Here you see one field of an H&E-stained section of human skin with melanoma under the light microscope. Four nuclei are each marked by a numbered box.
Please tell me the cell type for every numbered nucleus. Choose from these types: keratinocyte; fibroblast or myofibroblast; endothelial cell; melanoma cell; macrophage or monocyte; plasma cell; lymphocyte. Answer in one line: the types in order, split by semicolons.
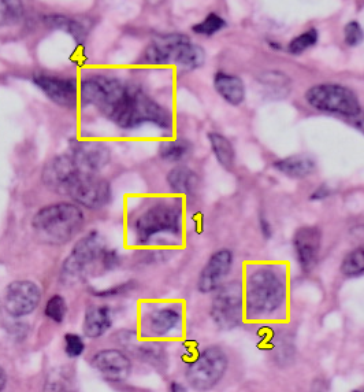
melanoma cell; melanoma cell; macrophage or monocyte; melanoma cell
